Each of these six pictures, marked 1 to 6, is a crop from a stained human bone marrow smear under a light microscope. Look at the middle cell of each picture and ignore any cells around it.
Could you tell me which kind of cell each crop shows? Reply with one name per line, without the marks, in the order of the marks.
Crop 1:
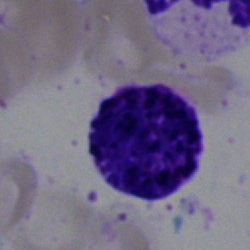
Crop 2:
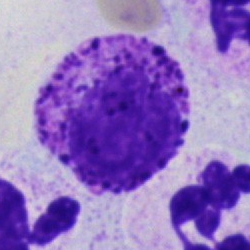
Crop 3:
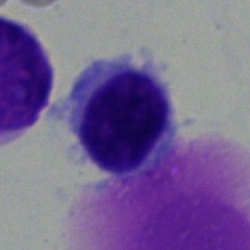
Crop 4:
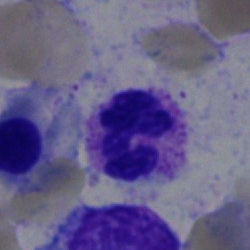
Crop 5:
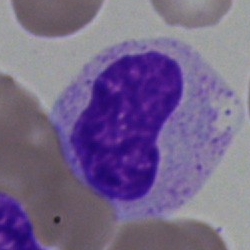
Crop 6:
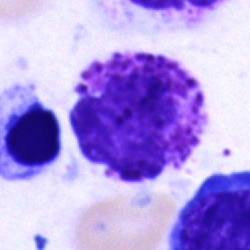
basophil
basophil
hairy cell
basophil
metamyelocyte
basophil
